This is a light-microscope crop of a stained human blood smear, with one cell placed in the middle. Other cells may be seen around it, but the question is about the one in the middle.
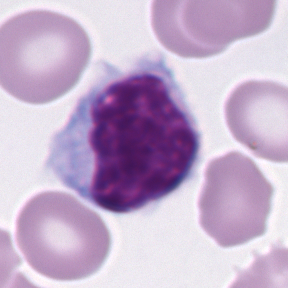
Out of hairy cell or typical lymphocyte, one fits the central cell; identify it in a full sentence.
In the crop, the cell of interest at the centre is a hairy cell.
